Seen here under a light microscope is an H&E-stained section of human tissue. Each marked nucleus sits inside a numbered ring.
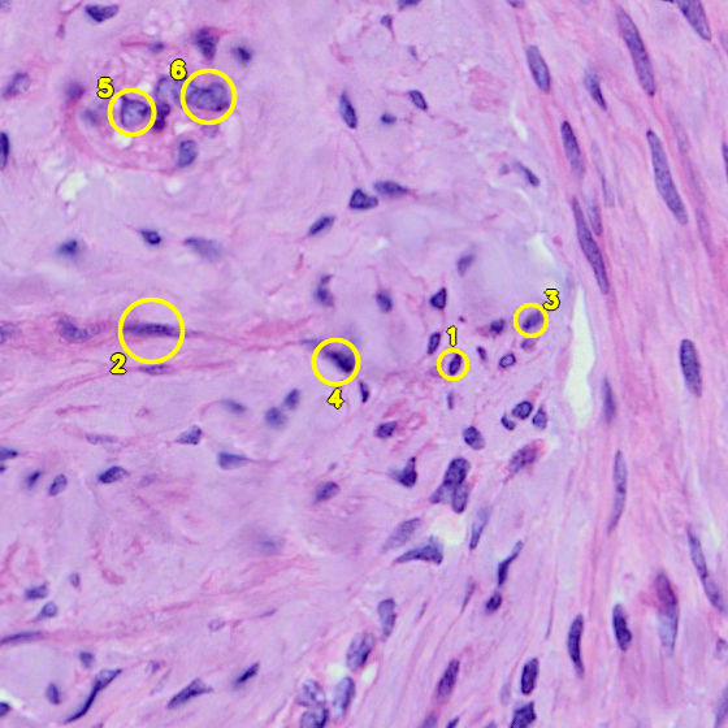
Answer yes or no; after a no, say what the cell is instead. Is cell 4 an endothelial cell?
No, it is a fibroblast.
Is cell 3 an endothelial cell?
No, it is a smooth muscle cell.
